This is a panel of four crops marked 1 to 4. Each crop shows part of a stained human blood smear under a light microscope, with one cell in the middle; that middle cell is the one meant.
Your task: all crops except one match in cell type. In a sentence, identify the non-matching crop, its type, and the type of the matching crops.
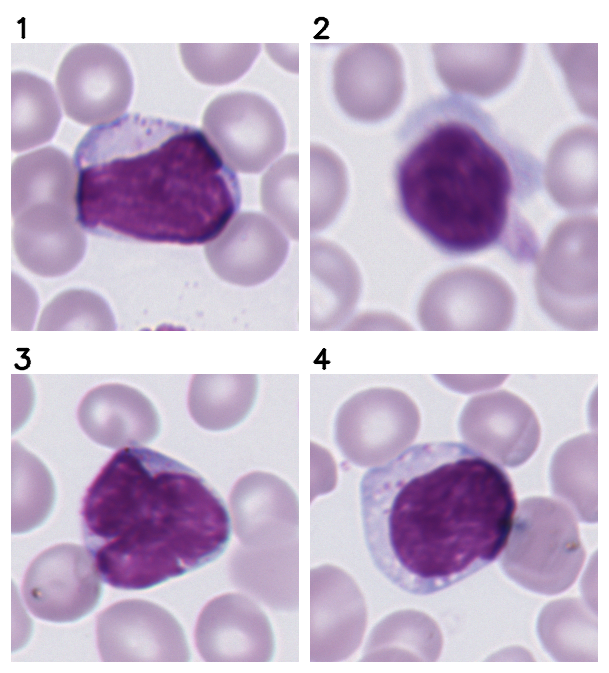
The remaining crops are all large granular lymphocytes, so crop 2, being a typical lymphocyte, is the exception.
